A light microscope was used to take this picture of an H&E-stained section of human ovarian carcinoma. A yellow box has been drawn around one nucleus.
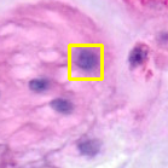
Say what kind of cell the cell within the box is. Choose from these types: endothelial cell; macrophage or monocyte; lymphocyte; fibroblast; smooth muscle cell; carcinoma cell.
smooth muscle cell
